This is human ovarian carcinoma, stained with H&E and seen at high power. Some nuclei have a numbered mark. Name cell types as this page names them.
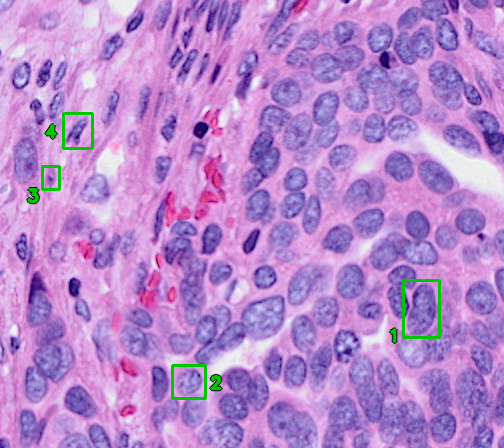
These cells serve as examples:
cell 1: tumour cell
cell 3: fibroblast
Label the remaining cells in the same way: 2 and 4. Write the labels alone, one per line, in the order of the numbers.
tumour cell
fibroblast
